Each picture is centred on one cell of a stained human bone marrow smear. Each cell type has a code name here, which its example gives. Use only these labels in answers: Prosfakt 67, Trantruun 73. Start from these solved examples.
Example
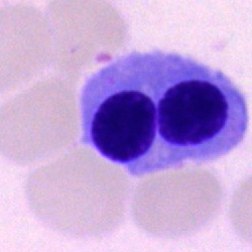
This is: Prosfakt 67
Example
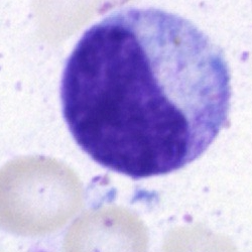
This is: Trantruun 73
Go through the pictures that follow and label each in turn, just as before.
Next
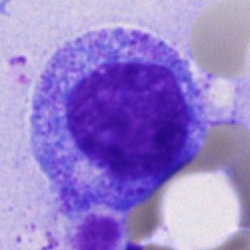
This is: Trantruun 73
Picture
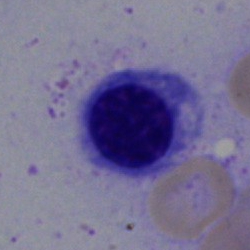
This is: Prosfakt 67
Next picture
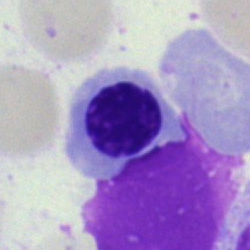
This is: Prosfakt 67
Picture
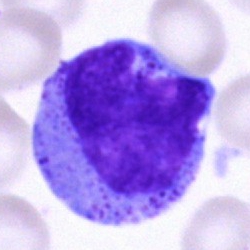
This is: Trantruun 73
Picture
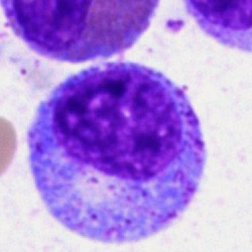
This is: Trantruun 73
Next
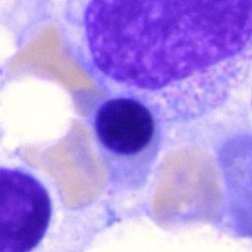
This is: Prosfakt 67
